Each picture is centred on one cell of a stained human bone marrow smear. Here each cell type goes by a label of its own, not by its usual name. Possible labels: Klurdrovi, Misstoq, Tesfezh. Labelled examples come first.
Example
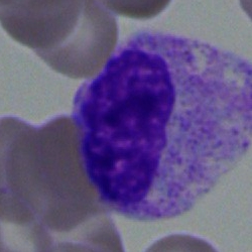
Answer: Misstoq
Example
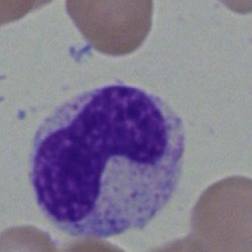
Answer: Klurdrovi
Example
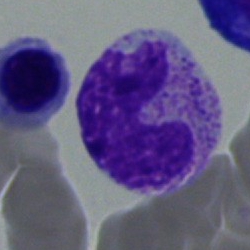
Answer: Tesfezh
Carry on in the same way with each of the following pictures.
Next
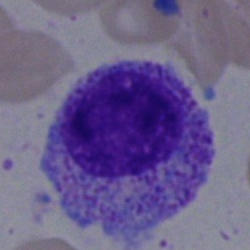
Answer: Misstoq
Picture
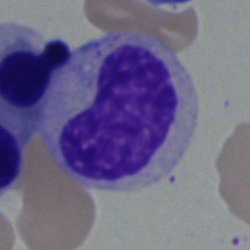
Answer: Klurdrovi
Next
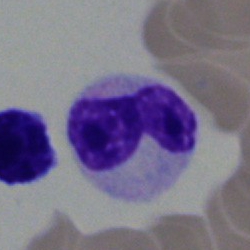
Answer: Tesfezh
